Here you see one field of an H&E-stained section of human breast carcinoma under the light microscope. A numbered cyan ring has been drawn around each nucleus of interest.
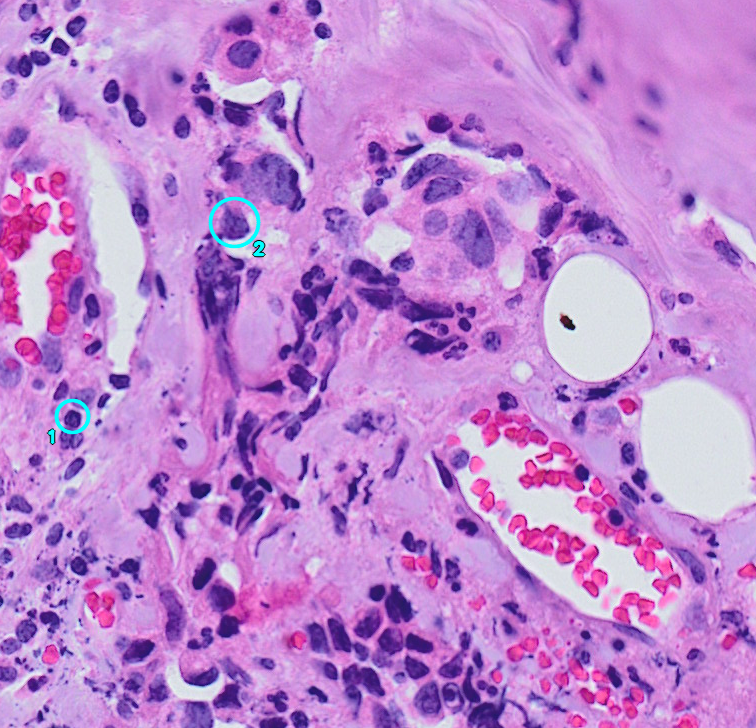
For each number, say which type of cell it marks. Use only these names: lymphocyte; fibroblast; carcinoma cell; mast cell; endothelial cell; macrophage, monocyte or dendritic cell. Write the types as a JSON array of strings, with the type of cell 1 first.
["lymphocyte", "carcinoma cell"]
